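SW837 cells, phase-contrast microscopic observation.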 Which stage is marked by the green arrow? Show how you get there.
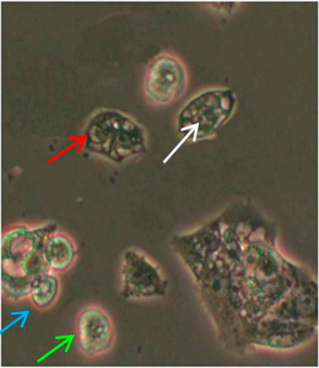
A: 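The arrow points to a small isolated round cell. It is not attached to any cell group.
Answer: floating cells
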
